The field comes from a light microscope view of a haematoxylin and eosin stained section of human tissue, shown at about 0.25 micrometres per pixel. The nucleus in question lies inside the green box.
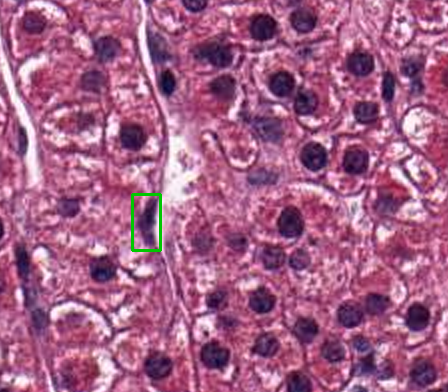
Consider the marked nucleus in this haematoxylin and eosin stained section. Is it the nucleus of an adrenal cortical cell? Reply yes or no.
no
